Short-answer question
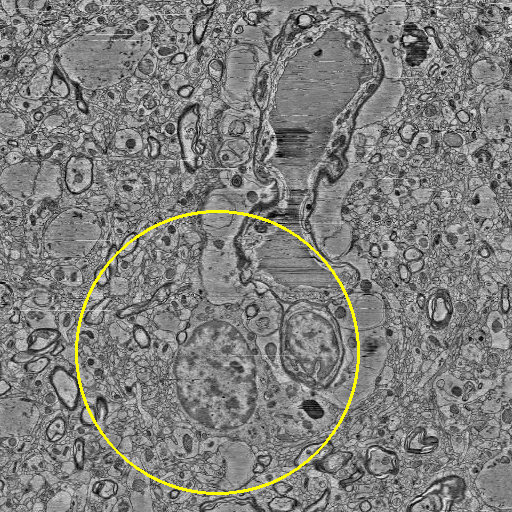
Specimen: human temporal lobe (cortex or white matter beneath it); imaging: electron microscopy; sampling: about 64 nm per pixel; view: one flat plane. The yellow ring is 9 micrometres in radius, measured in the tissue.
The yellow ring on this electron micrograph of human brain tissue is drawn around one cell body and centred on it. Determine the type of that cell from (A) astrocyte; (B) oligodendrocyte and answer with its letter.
B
